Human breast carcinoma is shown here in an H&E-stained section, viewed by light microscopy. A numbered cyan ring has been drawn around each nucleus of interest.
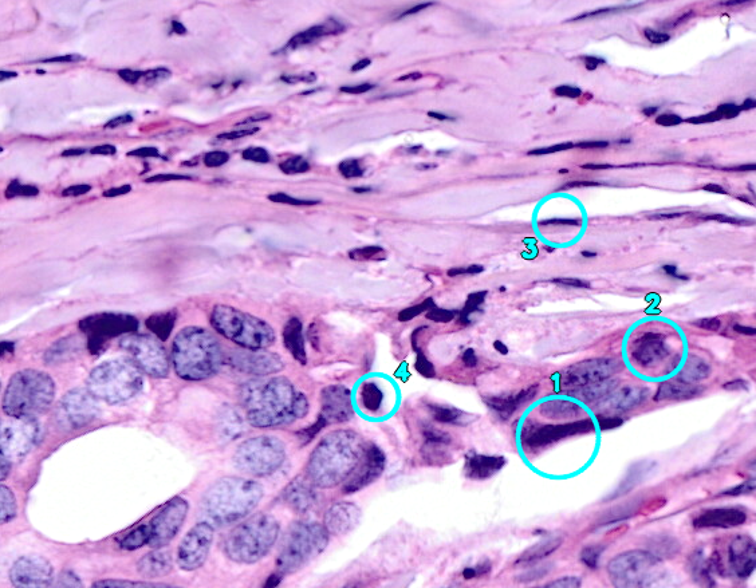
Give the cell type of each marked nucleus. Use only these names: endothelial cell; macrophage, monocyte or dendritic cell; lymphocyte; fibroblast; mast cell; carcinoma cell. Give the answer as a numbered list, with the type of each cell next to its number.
1. carcinoma cell
2. carcinoma cell
3. fibroblast
4. carcinoma cell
